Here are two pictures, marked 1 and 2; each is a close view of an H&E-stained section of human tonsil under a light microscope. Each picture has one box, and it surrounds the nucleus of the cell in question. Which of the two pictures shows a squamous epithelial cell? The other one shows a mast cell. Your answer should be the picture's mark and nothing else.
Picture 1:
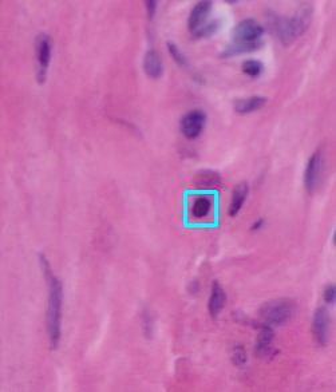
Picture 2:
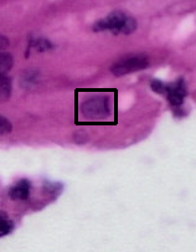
2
